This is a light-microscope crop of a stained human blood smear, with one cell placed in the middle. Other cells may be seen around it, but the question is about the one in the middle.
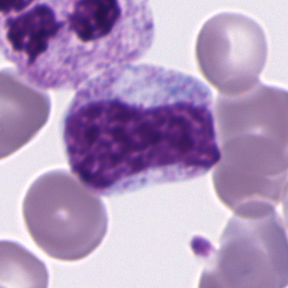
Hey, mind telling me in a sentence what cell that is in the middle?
Of the cells in this crop, the central one is a metamyelocyte.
